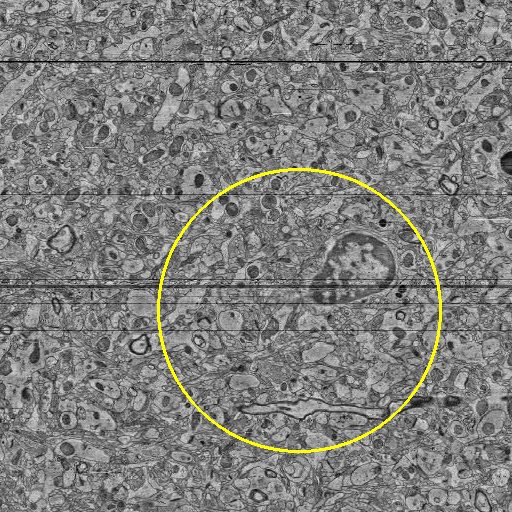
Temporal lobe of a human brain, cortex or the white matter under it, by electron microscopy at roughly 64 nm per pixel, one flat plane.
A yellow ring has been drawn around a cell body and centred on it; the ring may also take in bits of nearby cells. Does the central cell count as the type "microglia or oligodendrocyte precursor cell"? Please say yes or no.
yes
